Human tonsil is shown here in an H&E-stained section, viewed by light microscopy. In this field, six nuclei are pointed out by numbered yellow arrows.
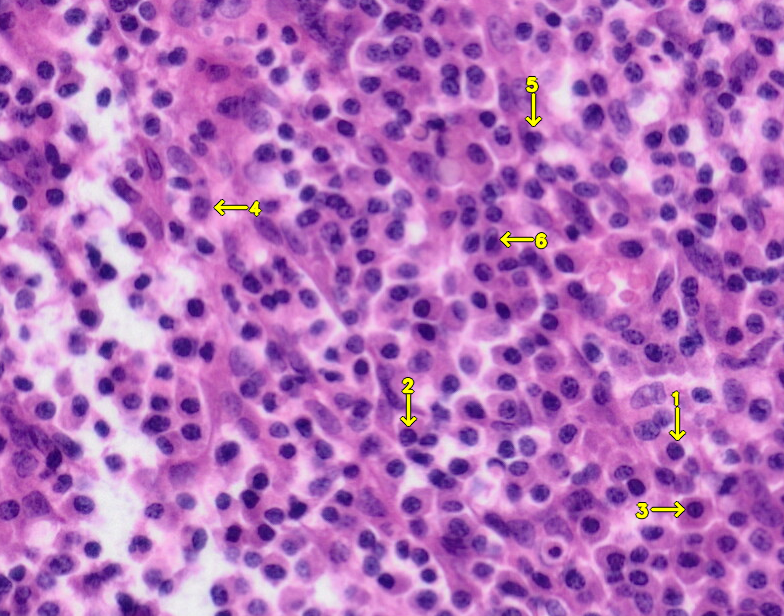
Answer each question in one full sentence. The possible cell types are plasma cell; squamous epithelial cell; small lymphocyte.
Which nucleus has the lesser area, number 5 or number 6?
With nucleus 5 about 1.5 times its size, nucleus 6 is the smaller of the two.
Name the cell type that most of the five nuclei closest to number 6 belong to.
Plasma cells make up most of the five nuclei closest to number 6.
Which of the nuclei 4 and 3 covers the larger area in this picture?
At about 1.5 times the area of nucleus 3, nucleus 4 is the larger of the two.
